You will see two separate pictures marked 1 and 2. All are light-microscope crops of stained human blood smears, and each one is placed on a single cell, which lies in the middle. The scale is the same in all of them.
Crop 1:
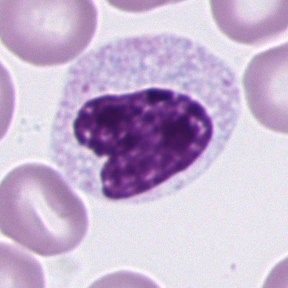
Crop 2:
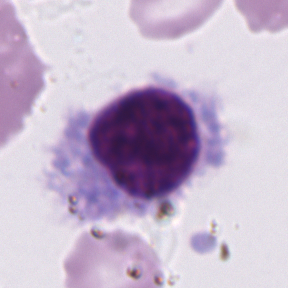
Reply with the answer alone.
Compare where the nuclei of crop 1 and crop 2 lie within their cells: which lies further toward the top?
2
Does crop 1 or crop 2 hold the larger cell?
1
